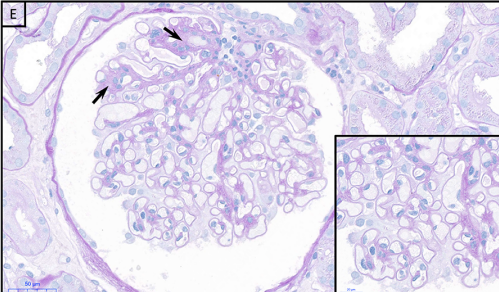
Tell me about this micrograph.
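This is a glomerulus in kidney tissue, a rounded tuft of open capillary loops lying within a clear space bounded by a thin magenta capsule. The loops are outlined by magenta basement membranes, some of them a little thick, and blue nuclei of cells are spread through the tuft without crowding. In places the pale-purple matrix between the loops is widened. Around the glomerulus lie cross-sections of tubules with their own magenta basement membranes.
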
